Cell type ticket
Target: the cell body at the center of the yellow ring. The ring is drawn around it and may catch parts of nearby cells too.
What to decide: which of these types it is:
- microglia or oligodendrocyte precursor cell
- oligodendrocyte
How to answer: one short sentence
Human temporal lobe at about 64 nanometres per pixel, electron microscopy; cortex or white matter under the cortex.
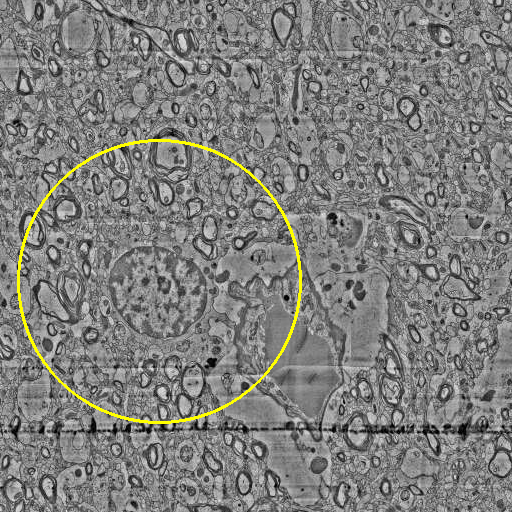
The cell at the center of the ring is an oligodendrocyte.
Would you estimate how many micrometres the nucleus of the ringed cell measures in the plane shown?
Roughly 6 by 4 micrometres is the size of the nucleus in this plane.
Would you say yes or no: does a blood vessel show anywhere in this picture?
Yes, there is a blood vessel.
